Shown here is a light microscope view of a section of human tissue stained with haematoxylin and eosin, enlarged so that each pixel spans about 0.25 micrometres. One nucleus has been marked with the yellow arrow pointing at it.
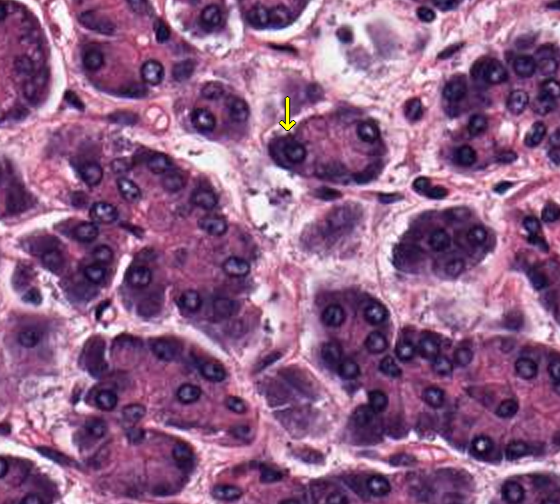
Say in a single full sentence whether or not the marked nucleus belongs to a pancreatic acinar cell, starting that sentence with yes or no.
Yes, the marked nucleus is one that belongs to a pancreatic acinar cell.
